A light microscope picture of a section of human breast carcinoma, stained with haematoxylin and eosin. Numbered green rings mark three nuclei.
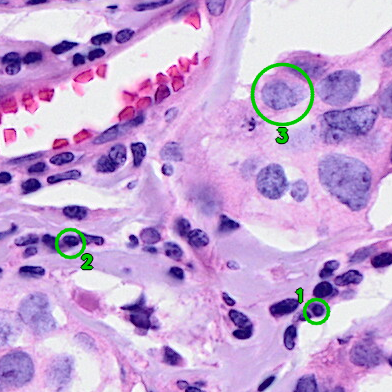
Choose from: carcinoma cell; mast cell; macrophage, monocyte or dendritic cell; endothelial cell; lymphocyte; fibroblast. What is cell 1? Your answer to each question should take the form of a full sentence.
The marked nucleus 1 is that of a lymphocyte.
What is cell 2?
Among the marked nuclei, number 2 belongs to a lymphocyte.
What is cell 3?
At number 3, the marked cell is a carcinoma cell.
